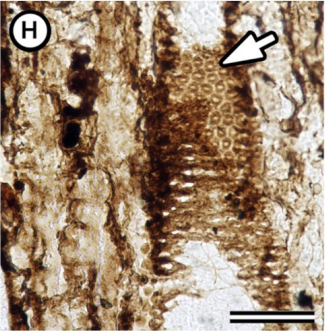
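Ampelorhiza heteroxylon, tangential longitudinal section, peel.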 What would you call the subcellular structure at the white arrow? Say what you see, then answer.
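A patch of small, closely packed many-sided pits on a cell wall. Pits are arranged in offset rows.
Answer: alternate polygonal pits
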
